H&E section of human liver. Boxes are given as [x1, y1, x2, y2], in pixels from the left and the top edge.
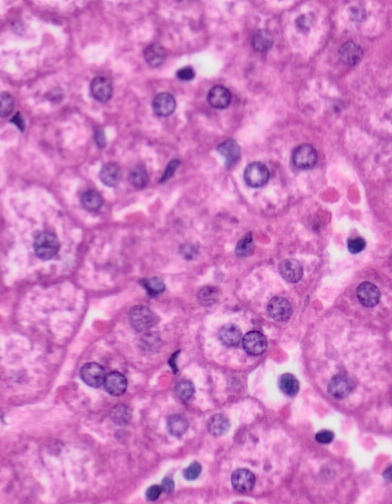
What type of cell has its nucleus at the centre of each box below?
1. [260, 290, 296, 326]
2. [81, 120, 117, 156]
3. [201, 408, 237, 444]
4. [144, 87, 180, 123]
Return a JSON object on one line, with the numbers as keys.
{"1": "hepatocyte", "2": "endothelial cell", "3": "hepatocyte", "4": "hepatocyte"}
